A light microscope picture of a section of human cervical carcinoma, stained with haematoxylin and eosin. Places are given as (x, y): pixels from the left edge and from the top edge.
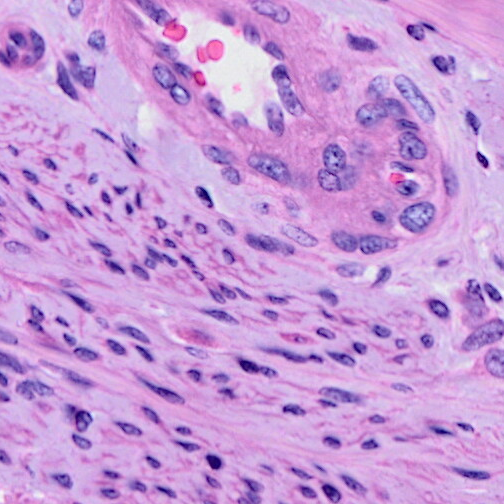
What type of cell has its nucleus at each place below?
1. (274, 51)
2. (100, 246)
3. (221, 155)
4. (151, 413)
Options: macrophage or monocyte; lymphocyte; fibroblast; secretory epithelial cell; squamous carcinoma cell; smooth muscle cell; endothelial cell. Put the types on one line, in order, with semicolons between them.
endothelial cell; smooth muscle cell; smooth muscle cell; smooth muscle cell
